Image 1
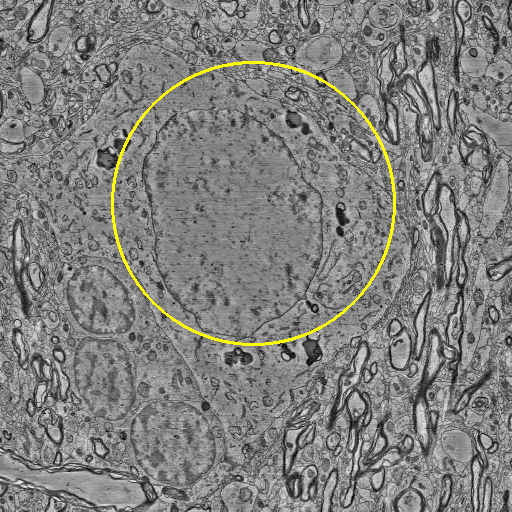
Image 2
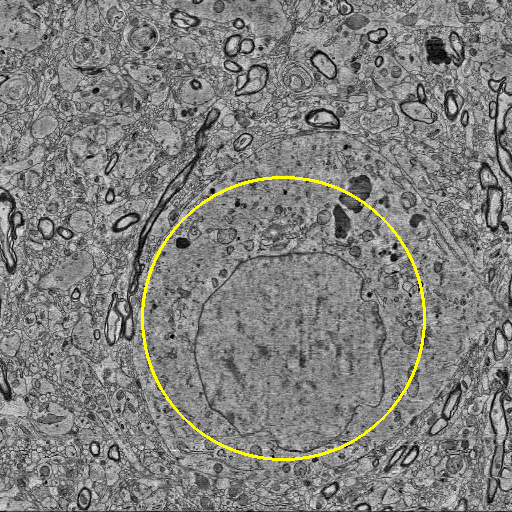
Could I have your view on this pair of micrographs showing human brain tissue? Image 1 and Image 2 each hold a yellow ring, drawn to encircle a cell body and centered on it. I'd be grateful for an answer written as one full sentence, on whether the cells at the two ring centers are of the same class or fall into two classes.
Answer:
The cells at the centers of the two rings are of the same class.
